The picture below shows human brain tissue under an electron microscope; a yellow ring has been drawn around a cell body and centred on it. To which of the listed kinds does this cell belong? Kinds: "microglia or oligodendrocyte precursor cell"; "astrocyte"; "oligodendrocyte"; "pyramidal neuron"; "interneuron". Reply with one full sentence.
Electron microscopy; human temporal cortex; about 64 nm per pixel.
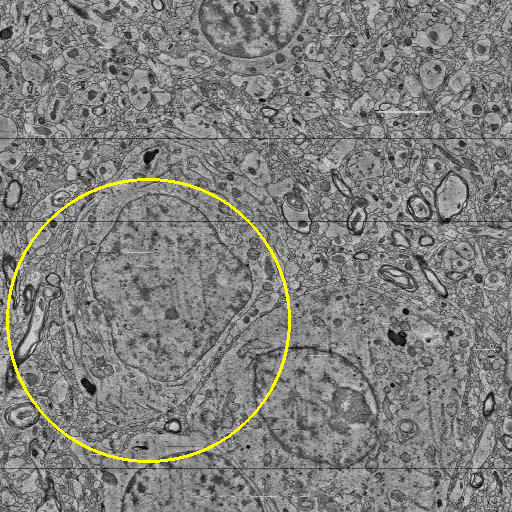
It is an interneuron that the yellow ring in the picture is centred on.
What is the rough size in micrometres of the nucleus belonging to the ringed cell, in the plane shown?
The ringed cell's nucleus is about 12 micrometres long and 10 micrometres wide in this plane.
